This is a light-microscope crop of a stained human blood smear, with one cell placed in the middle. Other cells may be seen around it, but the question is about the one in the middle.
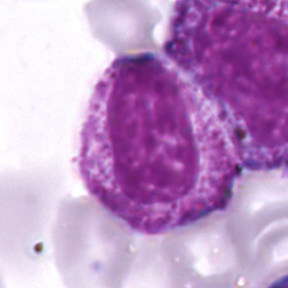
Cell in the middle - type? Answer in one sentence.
The cell in the middle of the field of view is a myelocyte.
